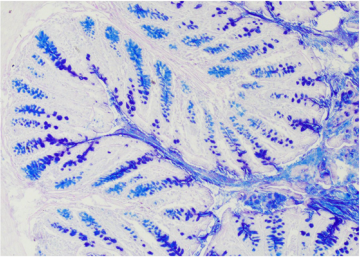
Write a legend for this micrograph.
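This is the folded mucosa of the colon, with crypts running into each fold and packed with goblet cells. The goblet cells appear as rounded mucin-filled cells lined up along the crypts, some stained light blue and others deep purple. The surrounding epithelium and lamina propria are pale, with connective tissue in the cores of the folds stained bluish.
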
